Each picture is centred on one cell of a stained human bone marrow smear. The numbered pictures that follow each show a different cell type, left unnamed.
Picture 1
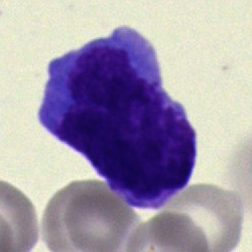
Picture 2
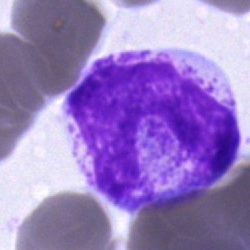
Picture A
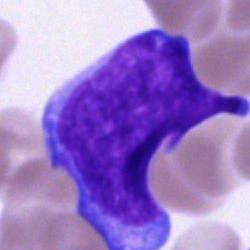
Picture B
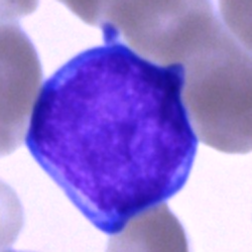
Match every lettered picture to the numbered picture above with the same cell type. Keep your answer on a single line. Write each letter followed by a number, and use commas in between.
A 1, B 1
